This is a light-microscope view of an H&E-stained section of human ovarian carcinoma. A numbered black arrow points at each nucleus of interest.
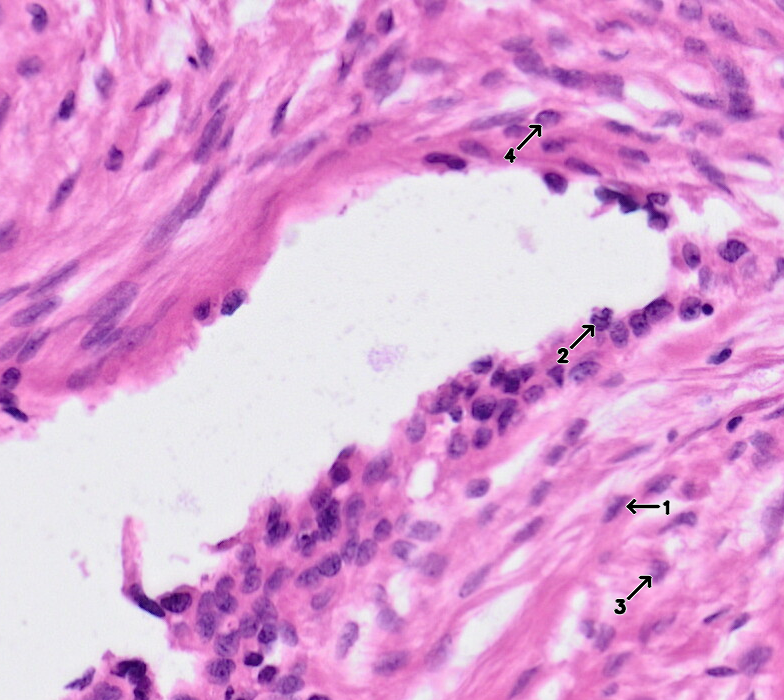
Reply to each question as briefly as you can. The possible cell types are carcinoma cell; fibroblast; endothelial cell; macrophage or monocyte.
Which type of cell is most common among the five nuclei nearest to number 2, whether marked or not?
carcinoma cell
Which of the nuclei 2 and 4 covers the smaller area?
4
